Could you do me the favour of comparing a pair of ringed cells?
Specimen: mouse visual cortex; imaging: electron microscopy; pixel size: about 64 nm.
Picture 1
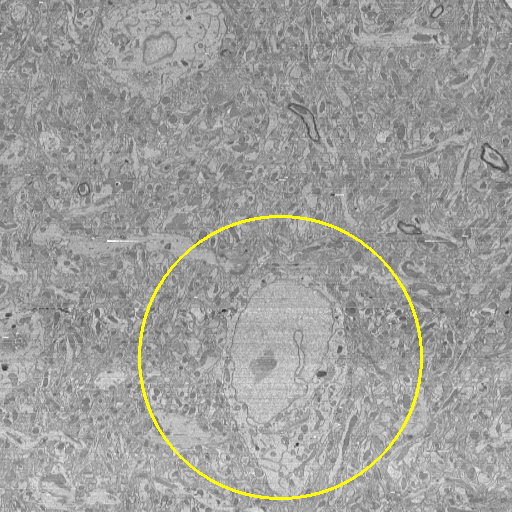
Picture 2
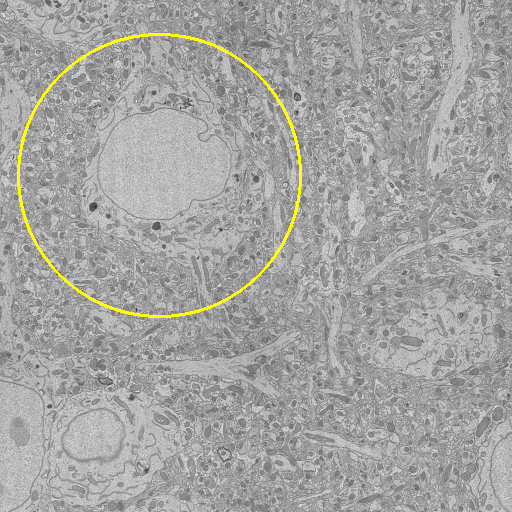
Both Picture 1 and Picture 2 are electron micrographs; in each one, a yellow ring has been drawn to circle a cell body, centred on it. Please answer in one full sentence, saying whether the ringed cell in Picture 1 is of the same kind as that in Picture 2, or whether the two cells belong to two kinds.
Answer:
The ringed cells in Picture 1 and Picture 2 belong to two kinds.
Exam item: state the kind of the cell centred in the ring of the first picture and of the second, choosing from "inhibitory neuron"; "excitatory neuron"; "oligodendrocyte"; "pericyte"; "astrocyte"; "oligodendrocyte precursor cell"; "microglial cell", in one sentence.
The first picture shows an inhibitory neuron at the ring centre and the second shows an excitatory neuron.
